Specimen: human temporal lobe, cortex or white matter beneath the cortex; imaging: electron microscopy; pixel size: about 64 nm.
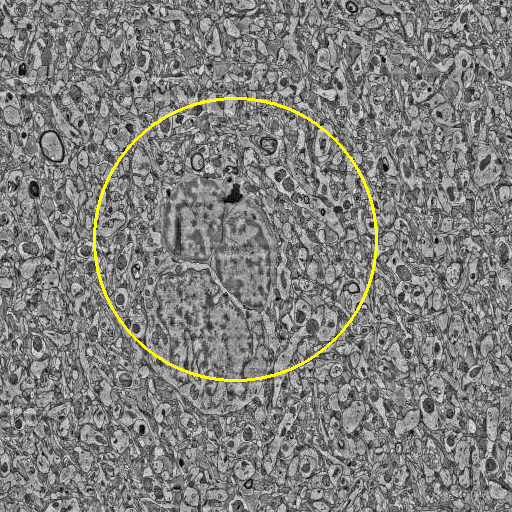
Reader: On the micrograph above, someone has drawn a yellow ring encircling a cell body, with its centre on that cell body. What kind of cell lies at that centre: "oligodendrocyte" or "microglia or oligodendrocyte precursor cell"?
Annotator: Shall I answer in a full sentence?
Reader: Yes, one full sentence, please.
Here an oligodendrocyte sits at the centre of the yellow ring drawn on the micrograph.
